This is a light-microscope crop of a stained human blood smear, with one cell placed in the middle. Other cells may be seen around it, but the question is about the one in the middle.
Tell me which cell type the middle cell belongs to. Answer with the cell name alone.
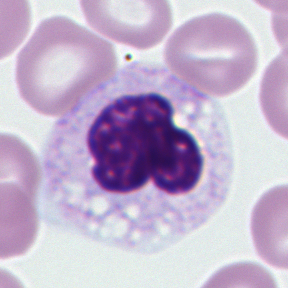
neutrophil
